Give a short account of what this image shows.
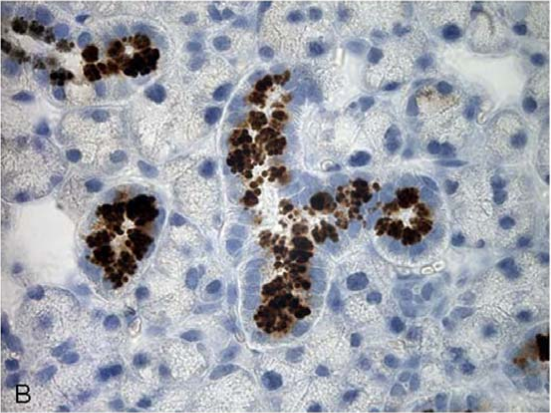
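Submaxillary gland with granular convoluted tubules among serous acini. The tubule cells are filled with coarse dark brown granules that crowd toward the narrow, branching lumen. The surrounding acinar cells have pale, finely vacuolated cytoplasm and round blue nuclei and are unstained.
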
